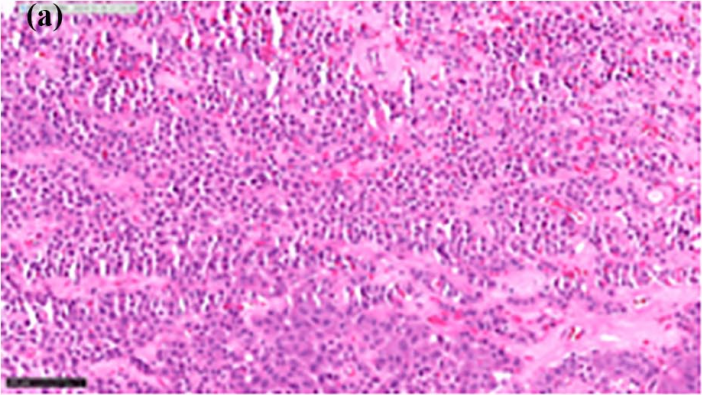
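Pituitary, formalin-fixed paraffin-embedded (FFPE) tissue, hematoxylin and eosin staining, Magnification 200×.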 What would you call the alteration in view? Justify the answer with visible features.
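Densely packed sheets and cords of closely set cells. The cells are uniform, with similar round dark nuclei. No acini or gland-like lumens are formed. On this evidence: epithelial-like tumoral proliferation.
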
